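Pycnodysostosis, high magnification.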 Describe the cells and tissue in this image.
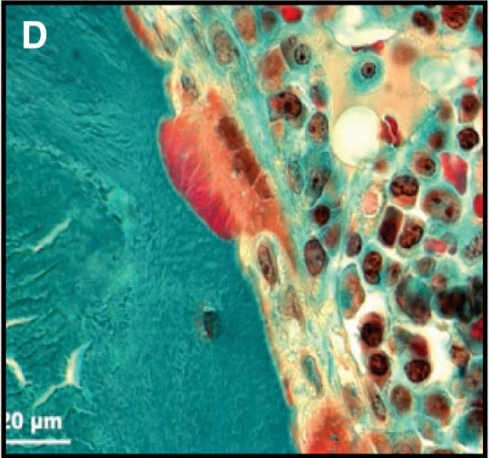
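This section of bone shows an osteoclast lying at the bone surface beside a resorption lacuna. A cell lies against this red area on the marrow side. To the right the marrow contains many closely packed round cells with dark nuclei and a clear round vacuole.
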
